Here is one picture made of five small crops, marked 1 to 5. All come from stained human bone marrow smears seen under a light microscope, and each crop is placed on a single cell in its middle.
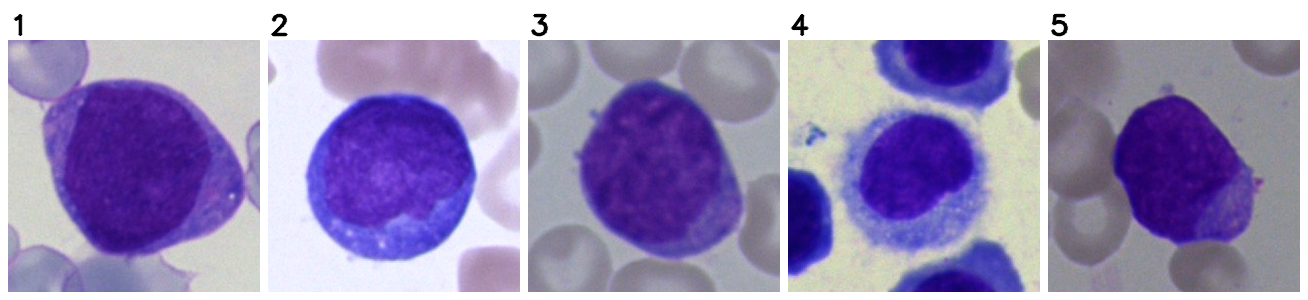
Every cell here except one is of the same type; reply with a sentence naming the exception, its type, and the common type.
The crop that differs is crop 4, showing a hairy cell; the others show blasts.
